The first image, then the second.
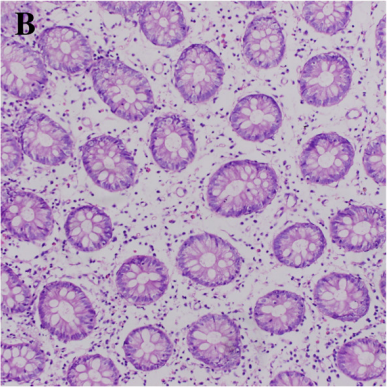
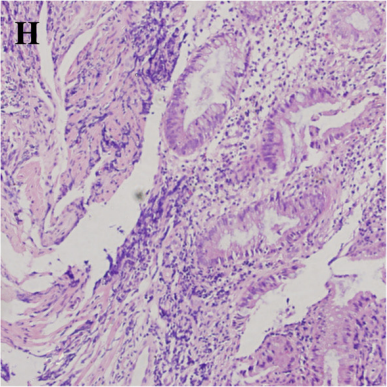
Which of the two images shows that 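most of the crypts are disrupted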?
The second image.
